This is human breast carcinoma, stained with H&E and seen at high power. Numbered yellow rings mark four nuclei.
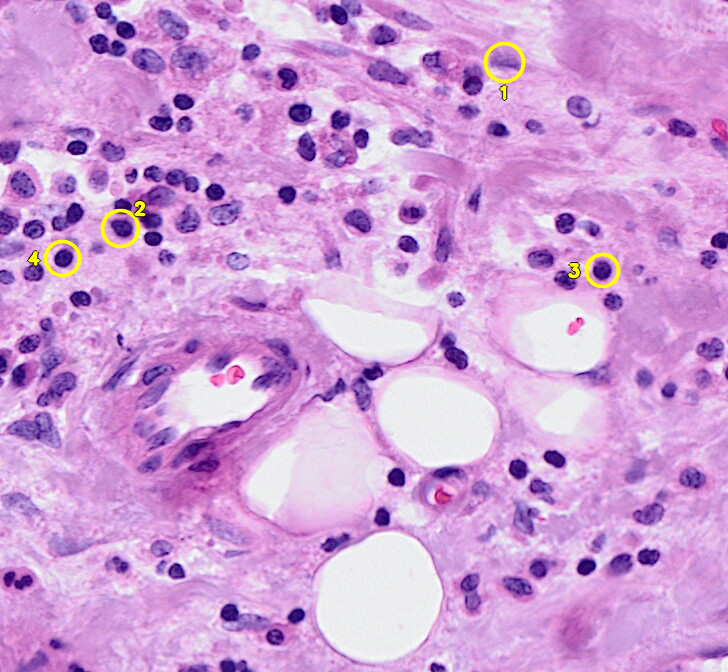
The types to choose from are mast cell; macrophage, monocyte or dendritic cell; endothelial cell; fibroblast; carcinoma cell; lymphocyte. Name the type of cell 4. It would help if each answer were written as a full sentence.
Recognised here as a lymphocyte is the cell numbered 4.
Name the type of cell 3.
To a lymphocyte belongs the nucleus marked 3.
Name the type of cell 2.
The cell numbered 2 represents a lymphocyte.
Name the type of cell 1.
In the marked set, the cell given number 1 is a fibroblast.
